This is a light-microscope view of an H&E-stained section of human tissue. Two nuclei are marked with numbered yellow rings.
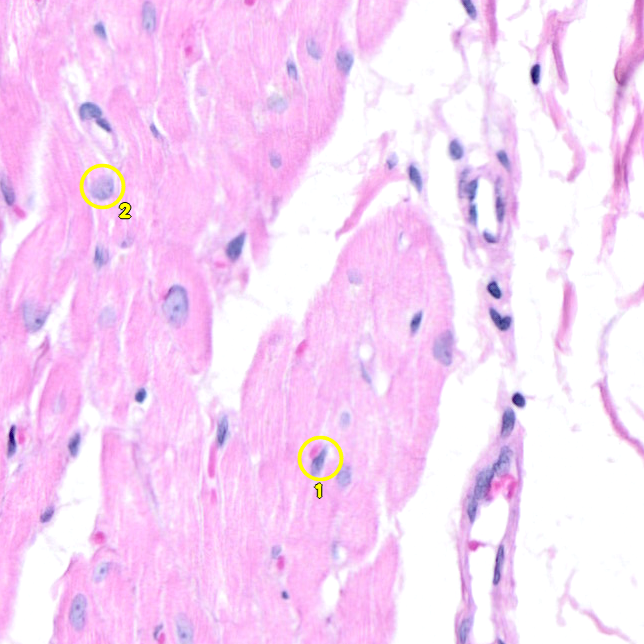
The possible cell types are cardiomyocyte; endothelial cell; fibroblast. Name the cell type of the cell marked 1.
endothelial cell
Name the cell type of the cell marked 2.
cardiomyocyte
